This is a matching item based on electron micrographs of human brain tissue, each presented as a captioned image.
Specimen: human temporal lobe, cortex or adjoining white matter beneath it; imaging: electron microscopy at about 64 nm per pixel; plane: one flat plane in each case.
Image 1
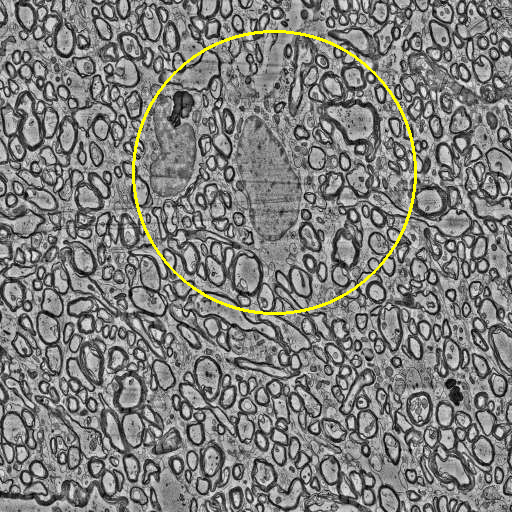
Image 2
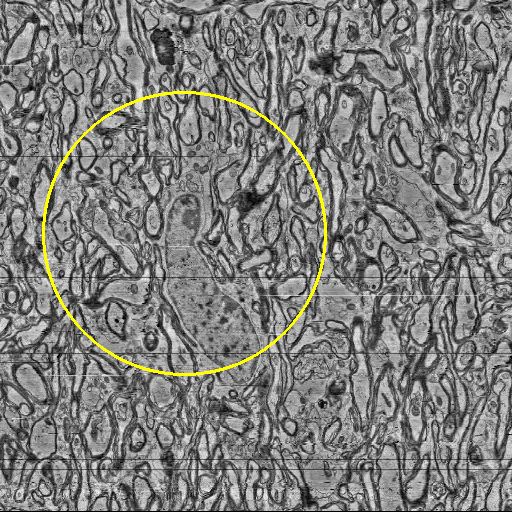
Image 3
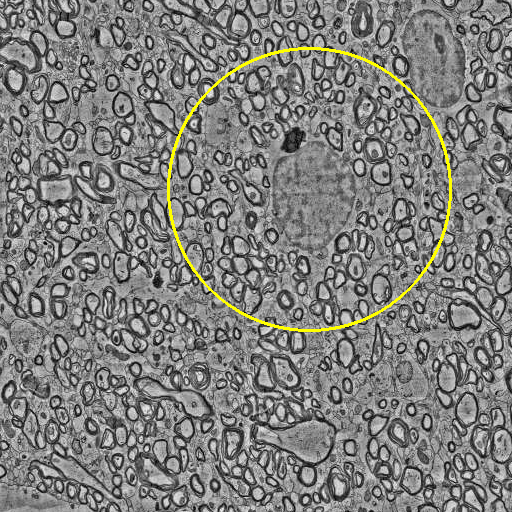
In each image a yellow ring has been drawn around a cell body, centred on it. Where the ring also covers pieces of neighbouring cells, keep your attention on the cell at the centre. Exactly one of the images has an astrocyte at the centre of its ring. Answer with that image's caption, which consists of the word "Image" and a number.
Image 1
